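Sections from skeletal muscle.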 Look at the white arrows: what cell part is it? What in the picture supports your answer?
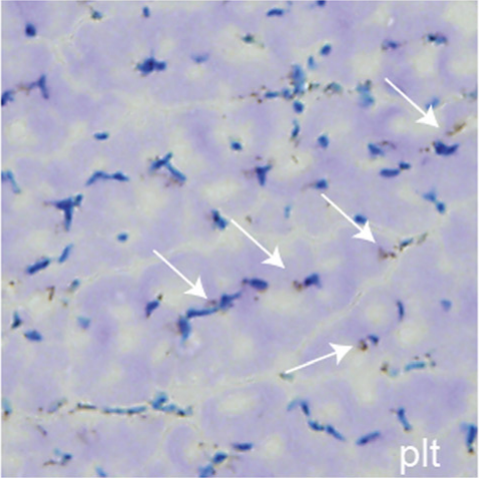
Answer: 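Brown granular deposits lie on or beside the marked bodies.
Answer: nuclei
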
